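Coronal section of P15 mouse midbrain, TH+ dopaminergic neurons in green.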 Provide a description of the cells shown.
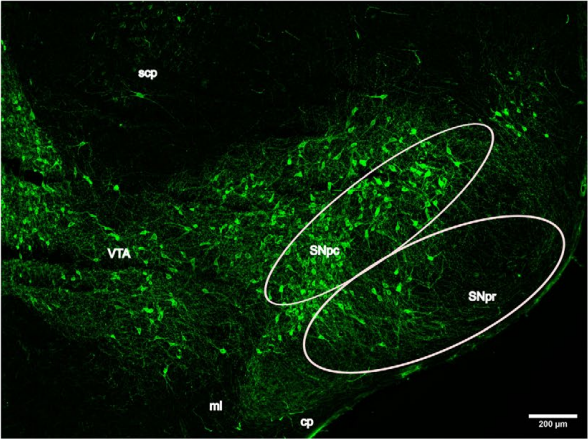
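Many rounded to spindle-shaped cell bodies are packed in a band running obliquely within the upper outlined oval, and another dense group lies toward the left side of the section. Fewer cell bodies lie in the lower outlined oval, which is instead crossed by a network of fine green fibres. The upper part of the field holds only scattered green cells and little fibre signal, and the lower right edge shows a thin green rim.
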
